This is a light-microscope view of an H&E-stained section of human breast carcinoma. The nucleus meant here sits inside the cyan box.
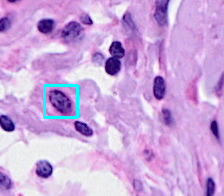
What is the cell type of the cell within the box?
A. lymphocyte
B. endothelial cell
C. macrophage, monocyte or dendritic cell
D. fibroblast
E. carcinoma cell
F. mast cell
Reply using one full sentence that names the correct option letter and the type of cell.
Option F matches the cell within the box, which is a mast cell.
